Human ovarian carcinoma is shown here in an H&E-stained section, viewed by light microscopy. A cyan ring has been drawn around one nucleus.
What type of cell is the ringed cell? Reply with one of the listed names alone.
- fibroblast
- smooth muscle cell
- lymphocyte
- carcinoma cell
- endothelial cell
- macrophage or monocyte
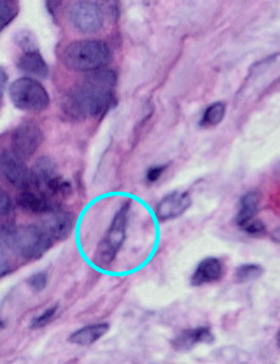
fibroblast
